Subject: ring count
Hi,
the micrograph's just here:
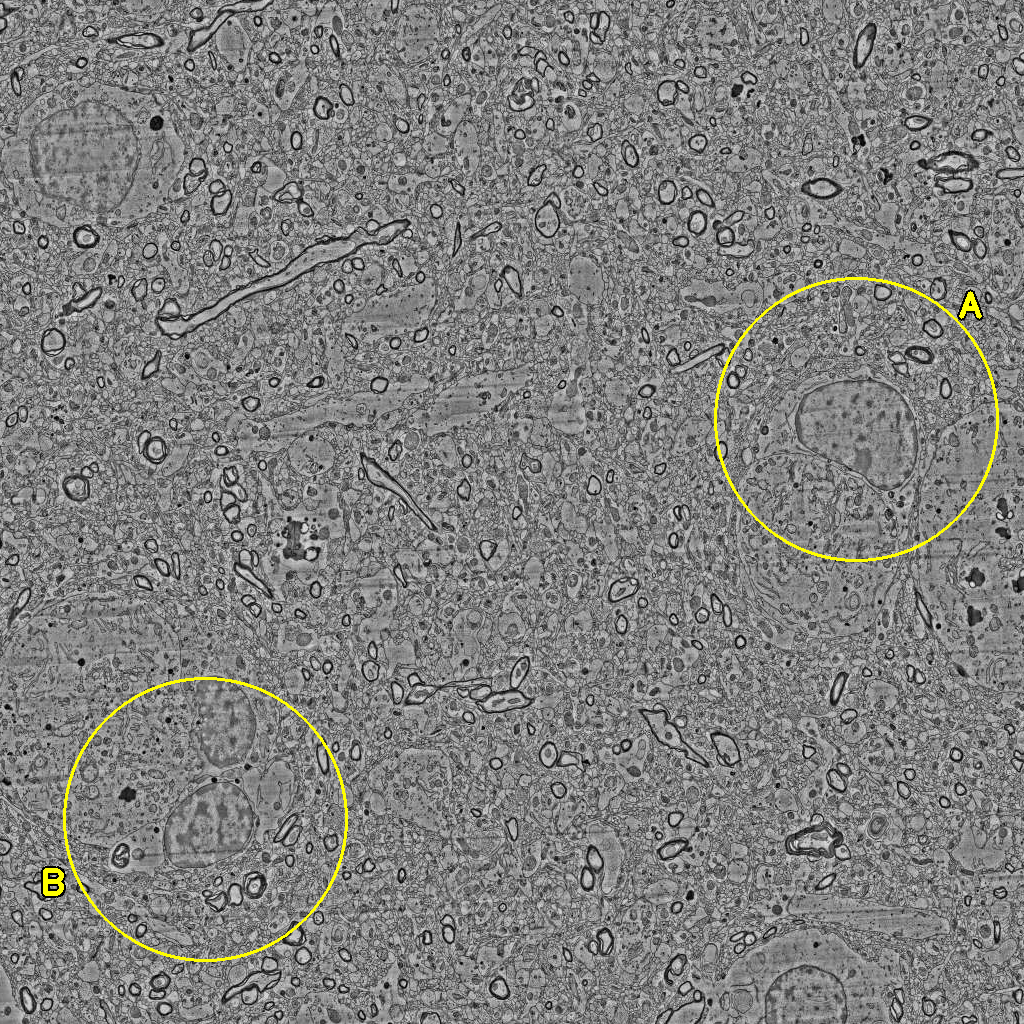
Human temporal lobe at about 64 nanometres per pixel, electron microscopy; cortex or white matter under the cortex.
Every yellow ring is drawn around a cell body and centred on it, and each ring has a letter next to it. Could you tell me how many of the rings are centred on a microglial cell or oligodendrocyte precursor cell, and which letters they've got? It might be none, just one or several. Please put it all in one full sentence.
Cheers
The two rings that bear the letters A and B have each been centred on a microglial cell or oligodendrocyte precursor cell.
